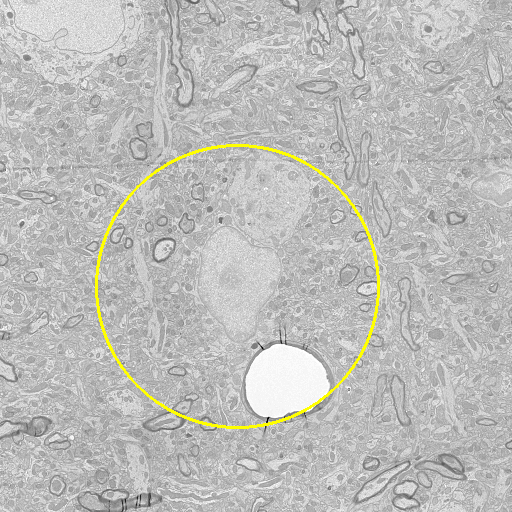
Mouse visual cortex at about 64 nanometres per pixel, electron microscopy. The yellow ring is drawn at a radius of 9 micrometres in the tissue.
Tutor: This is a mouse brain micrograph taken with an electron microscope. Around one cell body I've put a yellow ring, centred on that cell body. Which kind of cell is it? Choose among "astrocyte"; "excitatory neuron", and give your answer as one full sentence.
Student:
Going by your list, the cell centred in the yellow ring is an astrocyte.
